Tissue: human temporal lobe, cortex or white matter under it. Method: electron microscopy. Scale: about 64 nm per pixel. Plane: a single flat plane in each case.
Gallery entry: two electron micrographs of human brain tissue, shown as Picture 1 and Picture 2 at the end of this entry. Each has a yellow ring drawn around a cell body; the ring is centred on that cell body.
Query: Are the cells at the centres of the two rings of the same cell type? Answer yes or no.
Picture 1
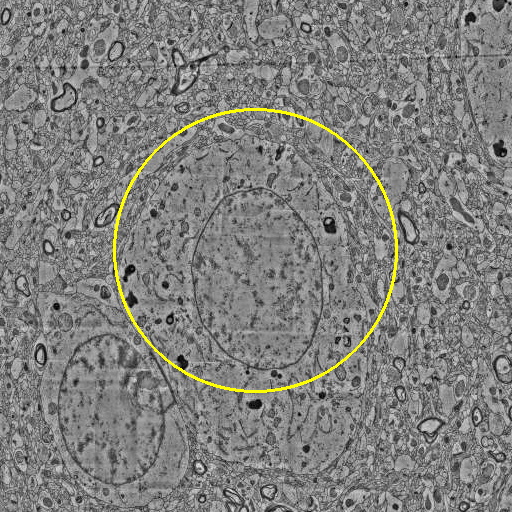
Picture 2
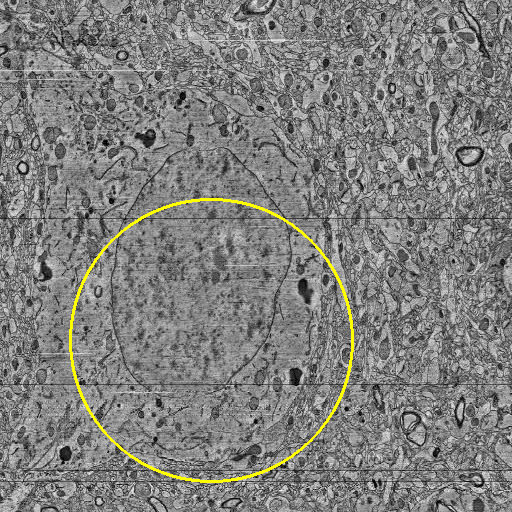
yes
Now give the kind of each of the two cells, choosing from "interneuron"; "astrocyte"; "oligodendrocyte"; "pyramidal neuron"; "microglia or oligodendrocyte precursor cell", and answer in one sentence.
Both the first and the second picture show a pyramidal neuron in the ring.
